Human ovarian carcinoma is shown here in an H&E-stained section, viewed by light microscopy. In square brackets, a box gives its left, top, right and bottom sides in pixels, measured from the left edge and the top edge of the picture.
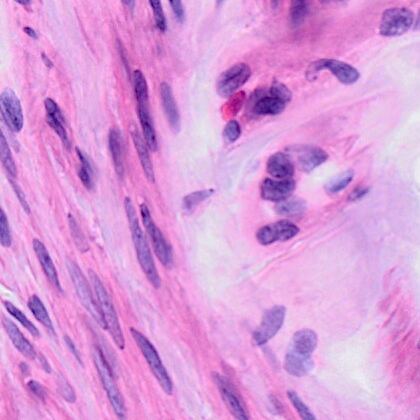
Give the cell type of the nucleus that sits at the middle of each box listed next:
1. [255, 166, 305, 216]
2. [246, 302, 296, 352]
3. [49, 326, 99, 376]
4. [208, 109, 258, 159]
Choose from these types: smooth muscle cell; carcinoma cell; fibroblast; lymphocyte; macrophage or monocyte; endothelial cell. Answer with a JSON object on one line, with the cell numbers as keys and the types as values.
{"1": "endothelial cell", "2": "fibroblast", "3": "smooth muscle cell", "4": "endothelial cell"}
